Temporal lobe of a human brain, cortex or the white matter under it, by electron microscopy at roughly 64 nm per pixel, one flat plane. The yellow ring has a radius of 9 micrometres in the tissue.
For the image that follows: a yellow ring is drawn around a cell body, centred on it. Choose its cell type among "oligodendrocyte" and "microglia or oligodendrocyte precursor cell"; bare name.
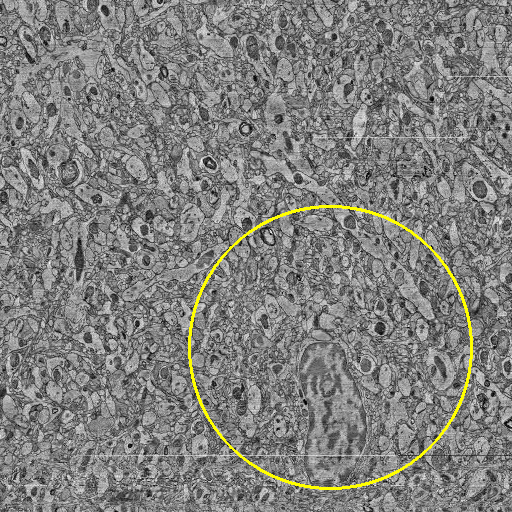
microglia or oligodendrocyte precursor cell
